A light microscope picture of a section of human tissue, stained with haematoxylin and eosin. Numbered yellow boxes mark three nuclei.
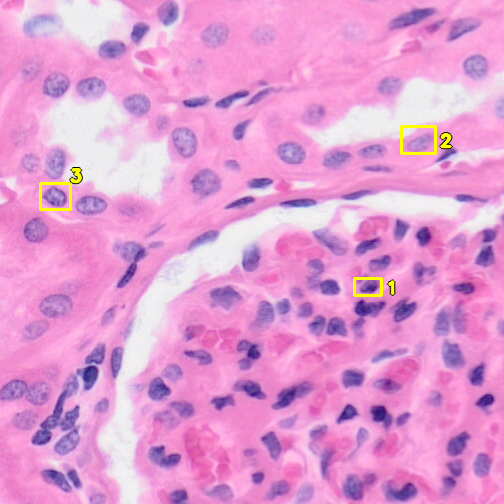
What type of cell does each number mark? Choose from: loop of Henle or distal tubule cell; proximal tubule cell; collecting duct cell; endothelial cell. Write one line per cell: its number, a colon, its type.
1: endothelial cell
2: loop of Henle or distal tubule cell
3: collecting duct cell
